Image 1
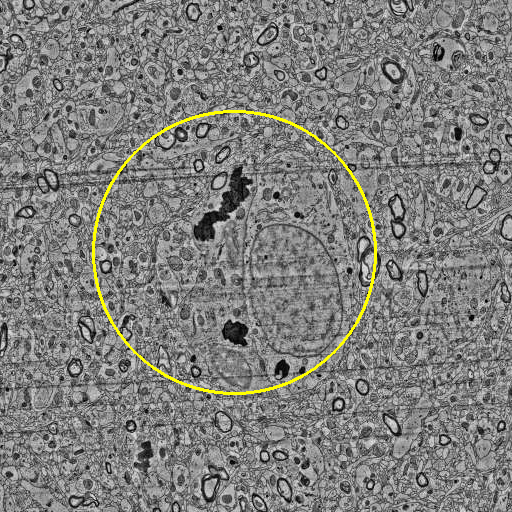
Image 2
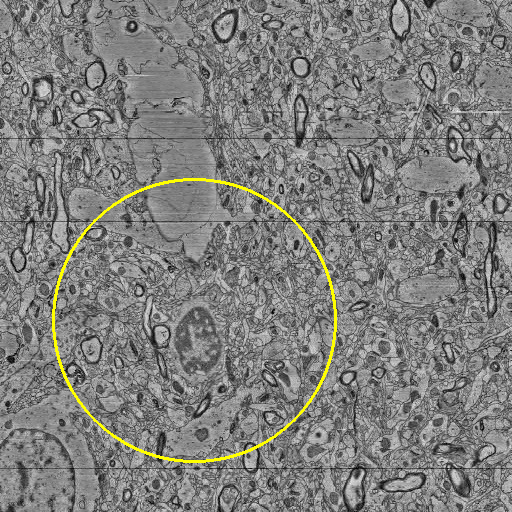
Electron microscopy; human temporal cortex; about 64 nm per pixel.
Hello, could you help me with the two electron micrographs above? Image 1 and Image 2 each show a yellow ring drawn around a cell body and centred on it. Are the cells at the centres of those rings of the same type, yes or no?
yes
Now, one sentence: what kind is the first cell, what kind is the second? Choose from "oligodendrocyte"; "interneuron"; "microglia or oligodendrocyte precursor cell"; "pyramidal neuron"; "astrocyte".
Each one of the two ringed cells is an oligodendrocyte.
